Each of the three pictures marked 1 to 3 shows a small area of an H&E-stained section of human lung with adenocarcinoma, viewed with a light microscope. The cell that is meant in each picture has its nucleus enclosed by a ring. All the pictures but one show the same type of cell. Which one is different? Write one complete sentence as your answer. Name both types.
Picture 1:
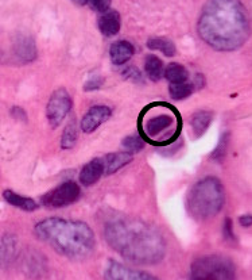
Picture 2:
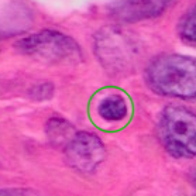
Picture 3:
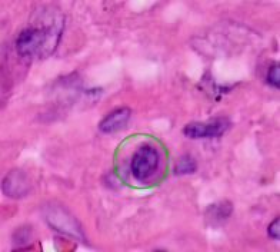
The different one is picture 3; it shows a plasma cell, whereas all the others show lymphocytes.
